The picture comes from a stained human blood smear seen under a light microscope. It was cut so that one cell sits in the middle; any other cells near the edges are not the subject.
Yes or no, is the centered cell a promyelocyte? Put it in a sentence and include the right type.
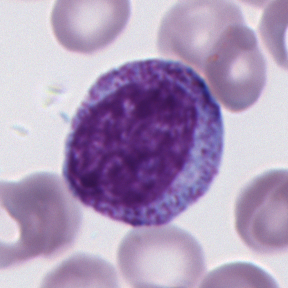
Yes, the cell in the exact middle is a promyelocyte.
